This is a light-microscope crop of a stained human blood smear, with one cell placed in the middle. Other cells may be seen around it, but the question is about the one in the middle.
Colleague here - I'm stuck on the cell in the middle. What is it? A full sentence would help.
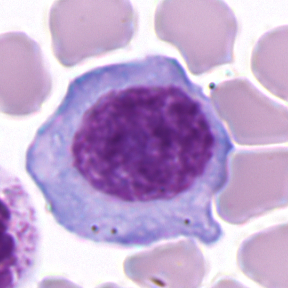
The cell nearest the centre of this crop is a plasma cell.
